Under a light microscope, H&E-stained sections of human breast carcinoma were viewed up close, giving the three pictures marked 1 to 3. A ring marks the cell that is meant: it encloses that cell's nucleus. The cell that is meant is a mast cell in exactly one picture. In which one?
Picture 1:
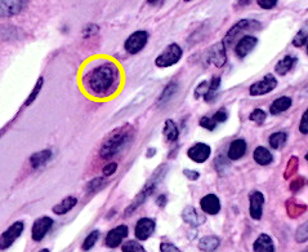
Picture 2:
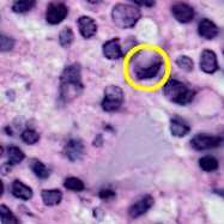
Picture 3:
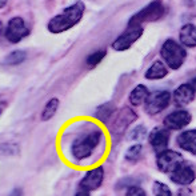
1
